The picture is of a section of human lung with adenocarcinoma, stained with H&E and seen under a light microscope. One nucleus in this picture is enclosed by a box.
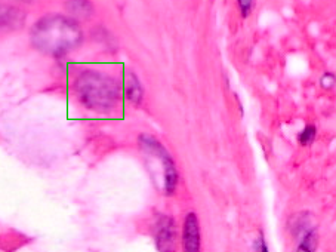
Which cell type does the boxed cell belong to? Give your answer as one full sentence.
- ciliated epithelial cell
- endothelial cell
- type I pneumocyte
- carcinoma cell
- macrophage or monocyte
Within this tissue, the boxed cell is a ciliated epithelial cell.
